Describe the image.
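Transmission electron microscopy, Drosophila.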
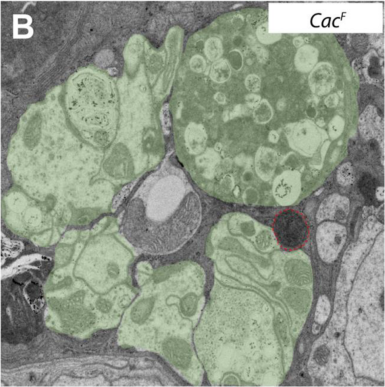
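Photoreceptor terminals in a lamina cartridge, shaded green, show expansion and degenerative changes. Neighbouring terminals are less regular in outline and contain mitochondria and looped membranes. A small, dark, electron-dense profile outlined in red lies between terminals. The regular ring of similar-sized terminals around a central bundle of pale processes is no longer evident.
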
